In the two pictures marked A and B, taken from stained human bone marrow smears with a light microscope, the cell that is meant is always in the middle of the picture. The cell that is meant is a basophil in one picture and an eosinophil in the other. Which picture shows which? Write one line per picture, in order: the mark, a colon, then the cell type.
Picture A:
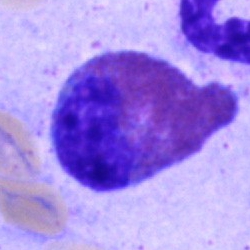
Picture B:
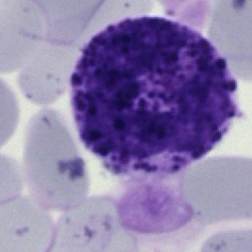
A: eosinophil
B: basophil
